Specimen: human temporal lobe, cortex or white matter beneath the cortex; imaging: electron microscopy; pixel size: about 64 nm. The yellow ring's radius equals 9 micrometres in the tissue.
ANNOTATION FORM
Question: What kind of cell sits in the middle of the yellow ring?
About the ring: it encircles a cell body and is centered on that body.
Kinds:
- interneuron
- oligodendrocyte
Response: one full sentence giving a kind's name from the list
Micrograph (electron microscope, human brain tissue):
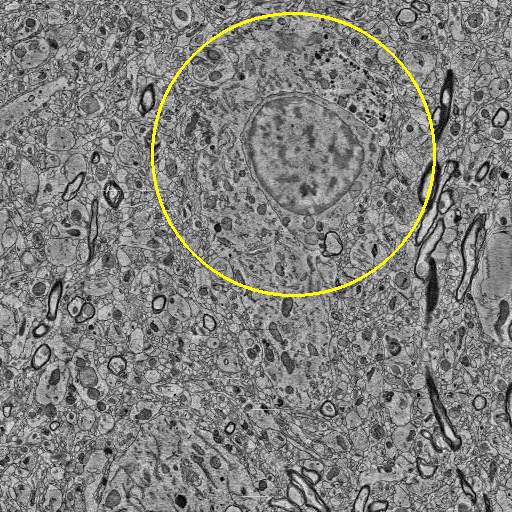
The kind of cell found at the center of the yellow ring in the micrograph is an oligodendrocyte.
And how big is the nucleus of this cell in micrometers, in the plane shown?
The ringed cell's nucleus measures approximately 8 by 7 micrometres in this plane.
